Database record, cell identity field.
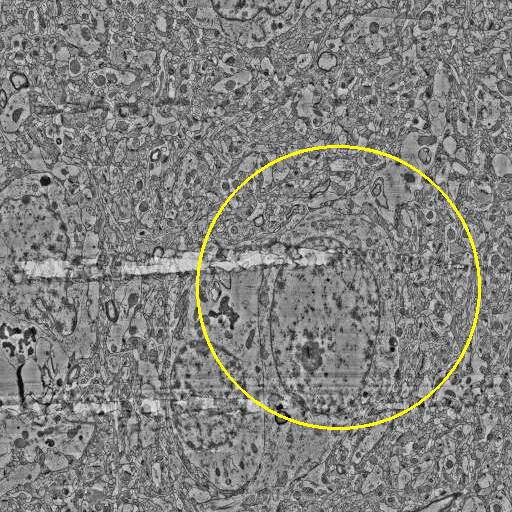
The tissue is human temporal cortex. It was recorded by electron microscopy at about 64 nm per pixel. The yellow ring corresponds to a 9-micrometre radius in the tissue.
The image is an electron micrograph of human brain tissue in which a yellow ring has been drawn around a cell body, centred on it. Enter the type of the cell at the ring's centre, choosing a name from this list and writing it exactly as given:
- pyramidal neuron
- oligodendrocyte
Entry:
pyramidal neuron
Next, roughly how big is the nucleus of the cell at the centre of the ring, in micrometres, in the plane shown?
Roughly 12 micrometres long and 7 micrometres wide; in this plane the nucleus is clearly longer than it is wide.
